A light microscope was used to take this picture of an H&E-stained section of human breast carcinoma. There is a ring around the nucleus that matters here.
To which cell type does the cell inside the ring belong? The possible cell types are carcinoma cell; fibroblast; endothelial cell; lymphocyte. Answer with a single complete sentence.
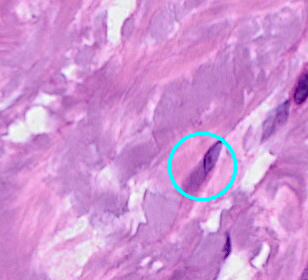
This is a fibroblast.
